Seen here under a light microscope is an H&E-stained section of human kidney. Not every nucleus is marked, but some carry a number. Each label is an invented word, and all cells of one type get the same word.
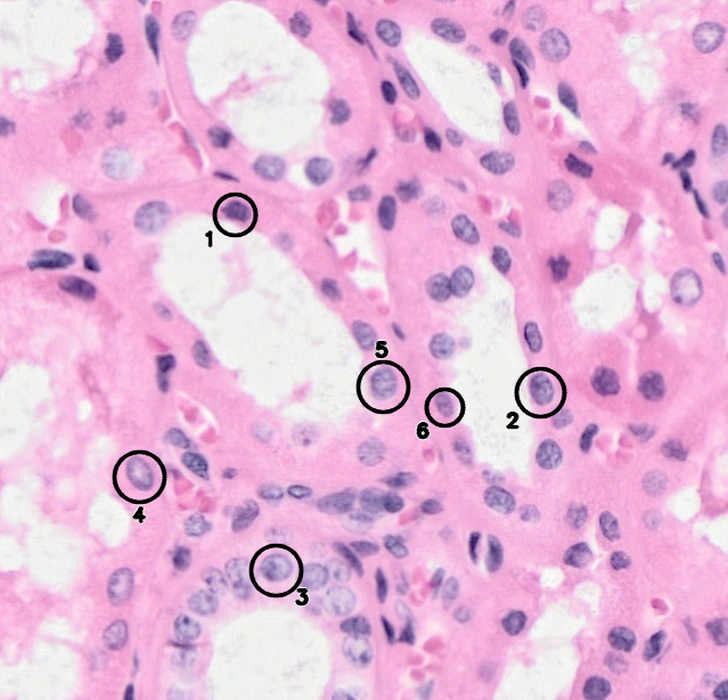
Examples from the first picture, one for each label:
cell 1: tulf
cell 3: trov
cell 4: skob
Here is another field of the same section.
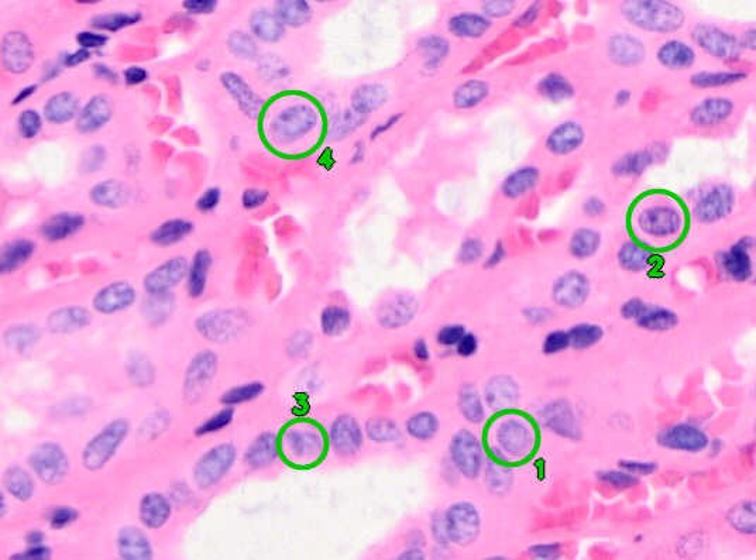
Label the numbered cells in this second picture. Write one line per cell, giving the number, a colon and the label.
1: trov
2: tulf
3: trov
4: trov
